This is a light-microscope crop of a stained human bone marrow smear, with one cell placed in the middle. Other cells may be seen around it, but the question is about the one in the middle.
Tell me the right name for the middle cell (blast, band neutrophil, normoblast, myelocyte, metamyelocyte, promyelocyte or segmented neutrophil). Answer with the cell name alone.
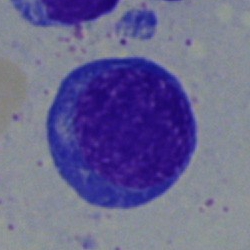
normoblast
